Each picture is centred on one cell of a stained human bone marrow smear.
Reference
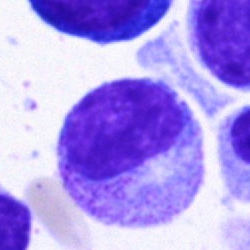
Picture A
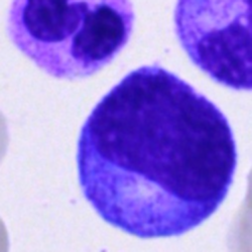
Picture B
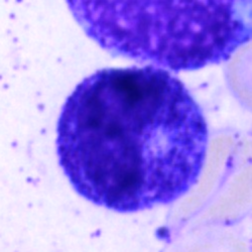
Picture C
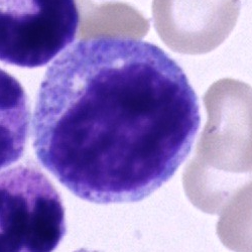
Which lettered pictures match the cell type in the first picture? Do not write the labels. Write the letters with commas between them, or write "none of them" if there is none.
none of them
